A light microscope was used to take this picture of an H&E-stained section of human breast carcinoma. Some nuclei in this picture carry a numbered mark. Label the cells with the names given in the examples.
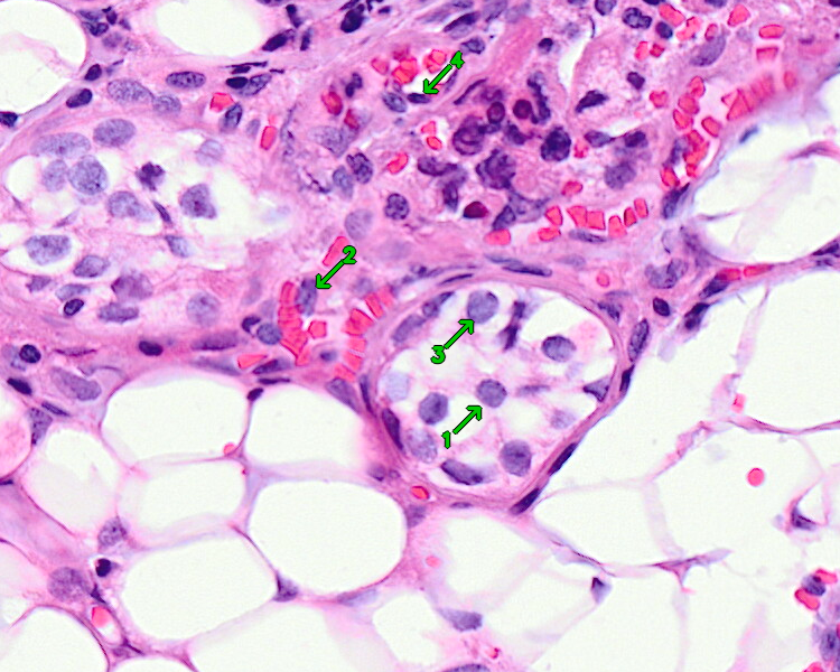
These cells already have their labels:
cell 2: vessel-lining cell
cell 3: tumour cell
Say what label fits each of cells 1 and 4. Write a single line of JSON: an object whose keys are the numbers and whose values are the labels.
{"1": "tumour cell", "4": "vessel-lining cell"}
